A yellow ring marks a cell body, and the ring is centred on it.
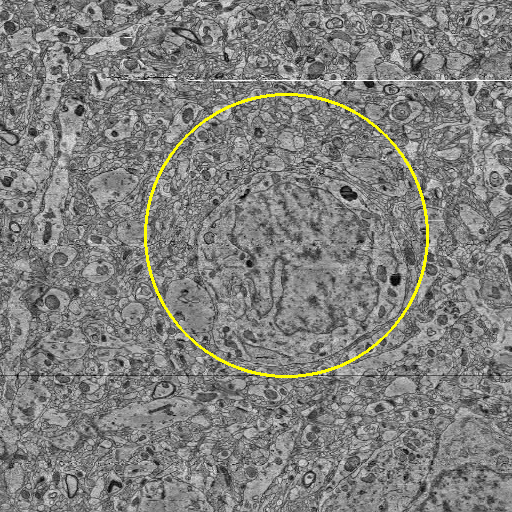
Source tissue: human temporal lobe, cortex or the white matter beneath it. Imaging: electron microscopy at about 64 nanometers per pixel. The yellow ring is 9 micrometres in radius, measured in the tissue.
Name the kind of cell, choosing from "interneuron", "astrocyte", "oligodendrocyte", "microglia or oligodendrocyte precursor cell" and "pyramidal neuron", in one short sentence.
The marked cell body belongs to an interneuron.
